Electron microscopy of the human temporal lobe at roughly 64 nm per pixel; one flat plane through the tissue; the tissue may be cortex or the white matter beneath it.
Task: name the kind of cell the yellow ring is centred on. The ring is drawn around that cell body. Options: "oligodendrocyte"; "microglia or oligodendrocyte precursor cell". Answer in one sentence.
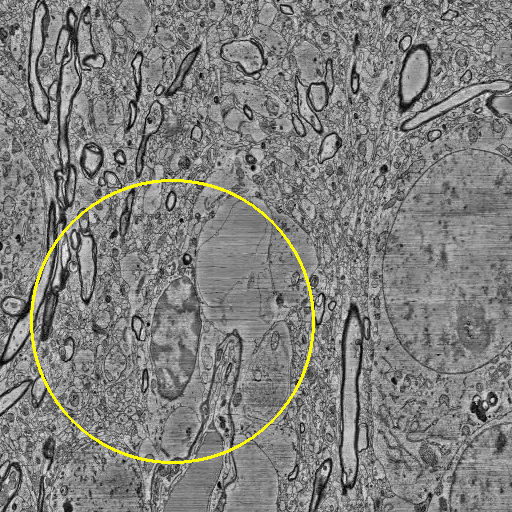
This cell body belongs to a microglial cell or oligodendrocyte precursor cell.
